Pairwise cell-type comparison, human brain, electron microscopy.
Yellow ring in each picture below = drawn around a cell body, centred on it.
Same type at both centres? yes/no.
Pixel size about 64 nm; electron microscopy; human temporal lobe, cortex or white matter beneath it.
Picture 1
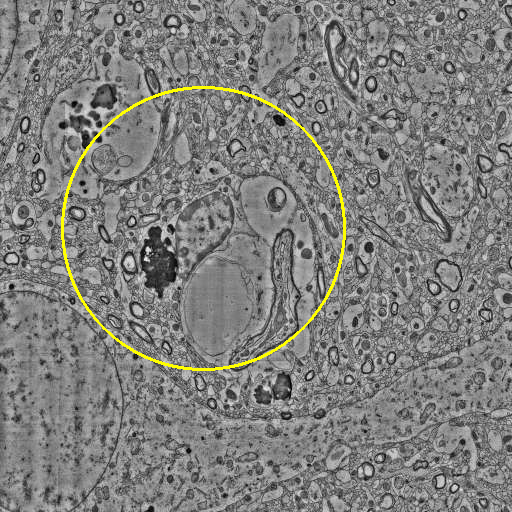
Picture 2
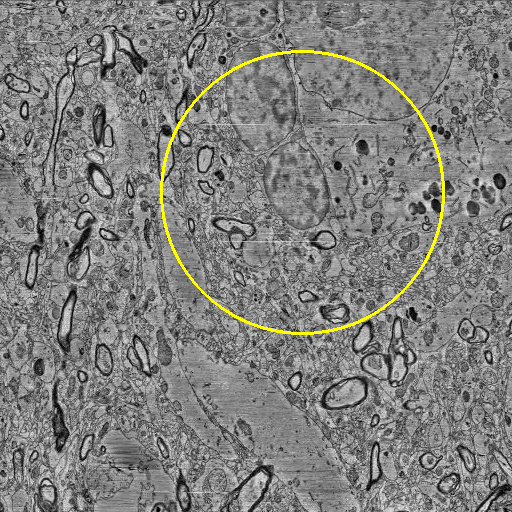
no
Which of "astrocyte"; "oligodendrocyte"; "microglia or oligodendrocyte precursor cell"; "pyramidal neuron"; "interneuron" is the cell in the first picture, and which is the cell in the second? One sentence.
The two differ: the first cell is a microglial cell or oligodendrocyte precursor cell and the second is an oligodendrocyte.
